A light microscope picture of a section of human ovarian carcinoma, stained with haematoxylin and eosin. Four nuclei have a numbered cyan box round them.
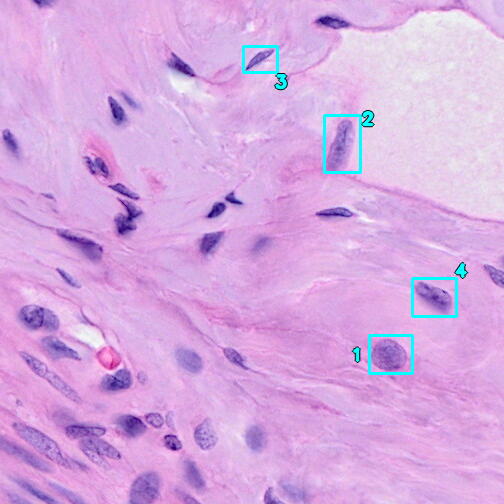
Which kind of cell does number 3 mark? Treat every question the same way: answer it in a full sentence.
Looking at the numbered marks, cell 3 is a fibroblast.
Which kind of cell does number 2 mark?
The cell that bears the number 2 is an endothelial cell.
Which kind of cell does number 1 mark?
The one numbered 1 among the marked cells is a fibroblast.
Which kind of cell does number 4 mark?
That cell with number 4 is a fibroblast.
